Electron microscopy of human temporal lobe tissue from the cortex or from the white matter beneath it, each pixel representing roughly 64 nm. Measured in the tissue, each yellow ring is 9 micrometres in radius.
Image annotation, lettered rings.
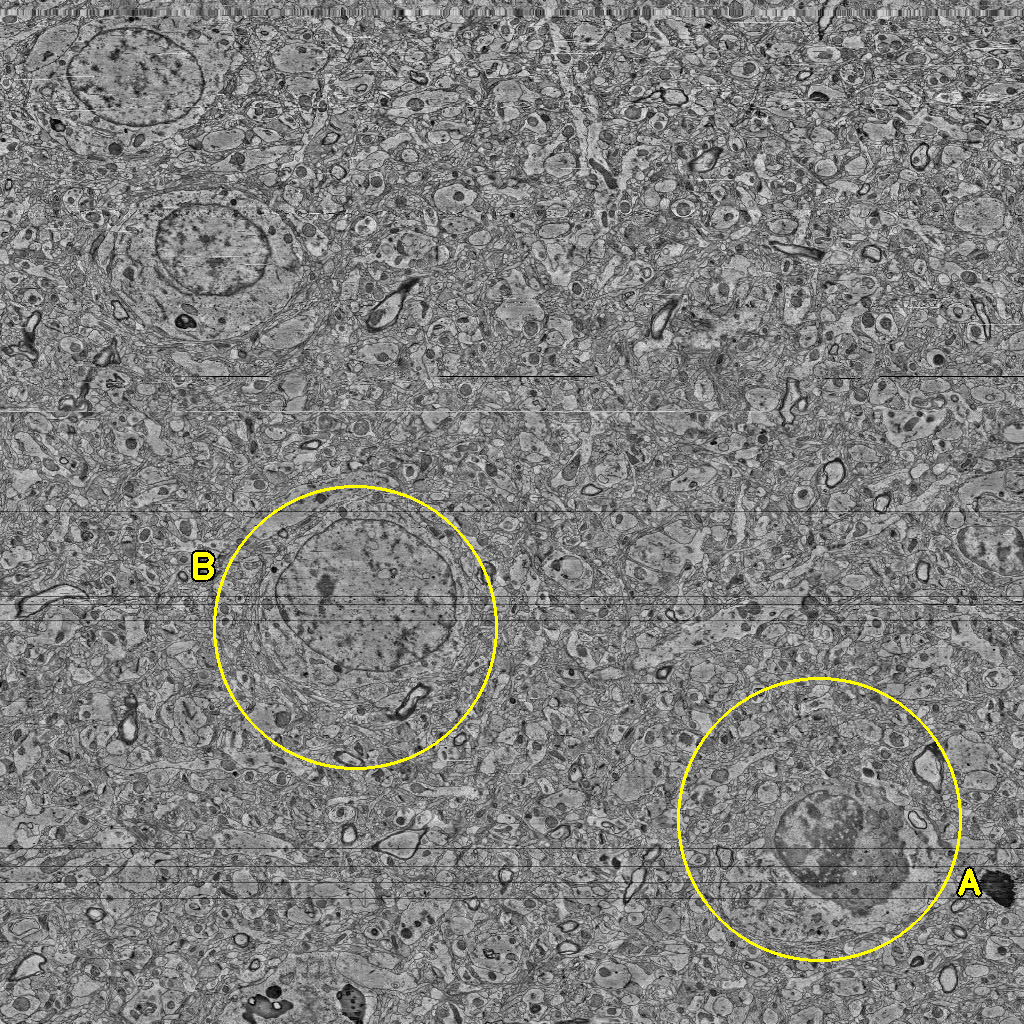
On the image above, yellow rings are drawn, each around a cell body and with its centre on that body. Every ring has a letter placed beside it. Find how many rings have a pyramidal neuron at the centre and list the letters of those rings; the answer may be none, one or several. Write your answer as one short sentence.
The ring labelled B is the only one centred on a pyramidal neuron.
